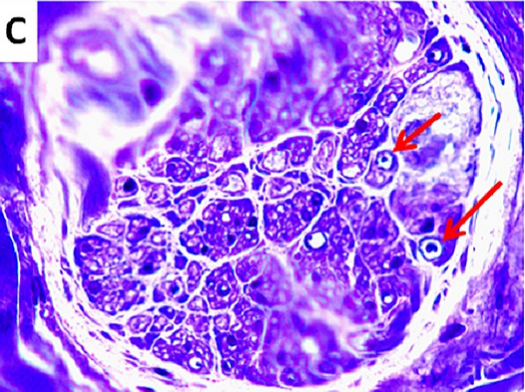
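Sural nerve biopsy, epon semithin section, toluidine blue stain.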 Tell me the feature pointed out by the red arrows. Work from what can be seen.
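The arrowed profiles are round with a dark ring around a pale center. Only a few such ringed profiles are present in the fascicle. So: myelinated fibers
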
